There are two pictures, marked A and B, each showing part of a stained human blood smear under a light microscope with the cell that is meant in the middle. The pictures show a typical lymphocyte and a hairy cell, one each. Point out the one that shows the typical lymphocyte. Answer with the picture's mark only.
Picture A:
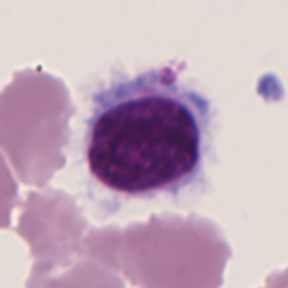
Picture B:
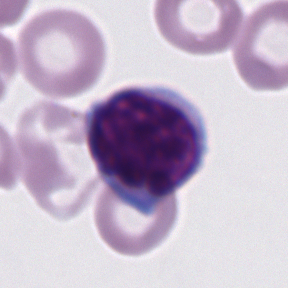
B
